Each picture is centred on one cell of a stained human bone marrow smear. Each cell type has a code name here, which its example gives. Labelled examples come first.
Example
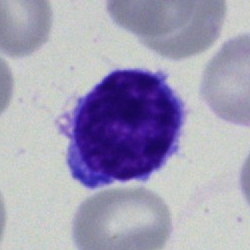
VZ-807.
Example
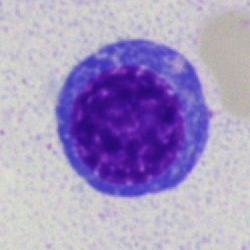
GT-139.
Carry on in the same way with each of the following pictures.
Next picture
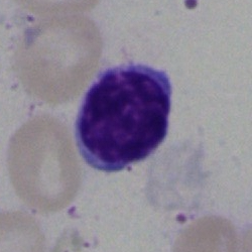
VZ-807.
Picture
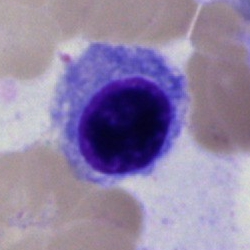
GT-139.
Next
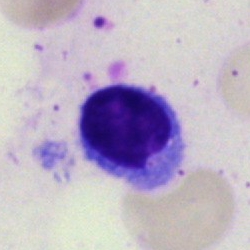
VZ-807.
